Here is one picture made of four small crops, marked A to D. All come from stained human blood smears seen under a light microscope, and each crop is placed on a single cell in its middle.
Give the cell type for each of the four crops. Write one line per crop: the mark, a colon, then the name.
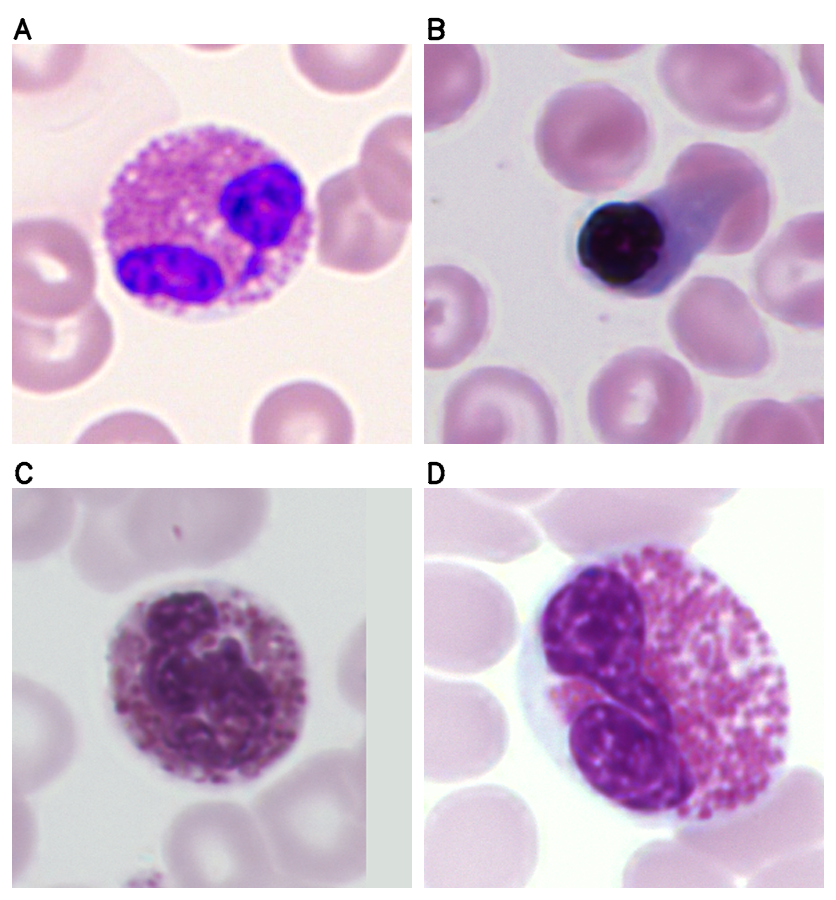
A: eosinophil
B: erythroblast
C: eosinophil
D: eosinophil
